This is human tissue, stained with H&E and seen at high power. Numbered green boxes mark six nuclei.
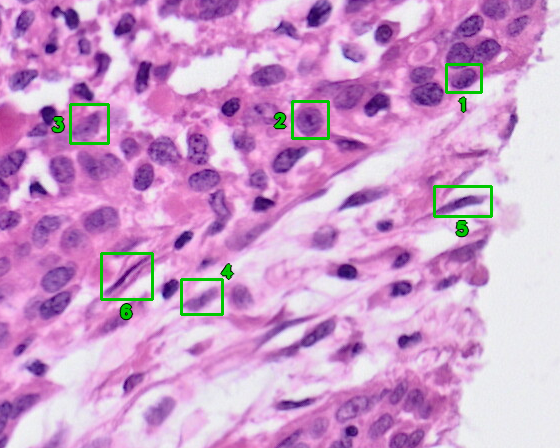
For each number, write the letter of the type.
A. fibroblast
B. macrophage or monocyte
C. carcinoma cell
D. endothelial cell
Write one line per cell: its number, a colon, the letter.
1: C
2: C
3: C
4: A
5: A
6: A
